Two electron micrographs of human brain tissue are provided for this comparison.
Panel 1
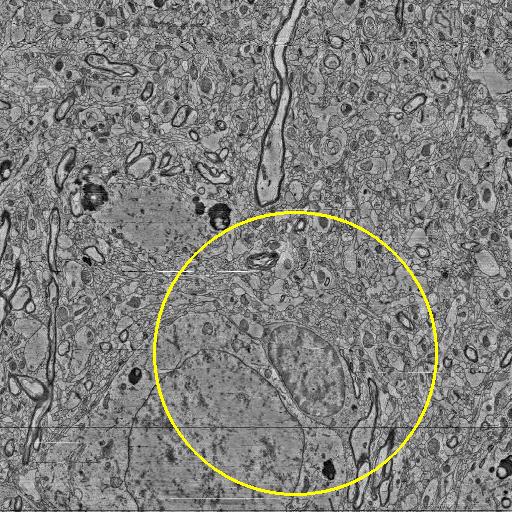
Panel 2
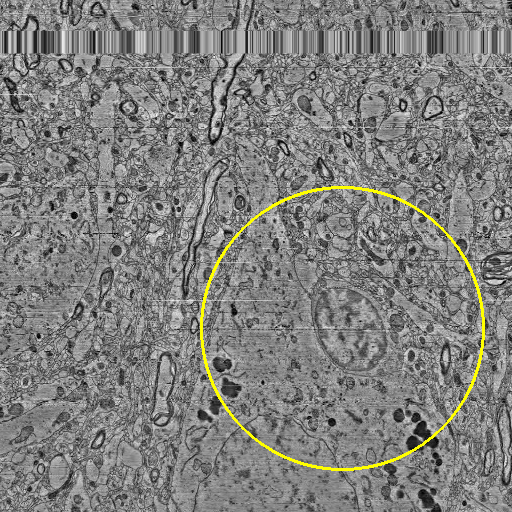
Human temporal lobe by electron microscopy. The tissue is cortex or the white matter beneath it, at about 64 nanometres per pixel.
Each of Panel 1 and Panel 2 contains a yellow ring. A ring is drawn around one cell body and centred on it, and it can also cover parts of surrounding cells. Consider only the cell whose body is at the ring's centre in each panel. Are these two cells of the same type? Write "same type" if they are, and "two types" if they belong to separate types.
same type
